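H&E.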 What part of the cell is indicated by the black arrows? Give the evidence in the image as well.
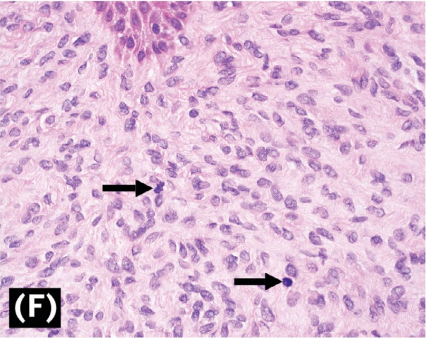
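Mitotic figures. The arrowed nuclei are small, dark and condensed. They stand among paler oval to spindled nuclei.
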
